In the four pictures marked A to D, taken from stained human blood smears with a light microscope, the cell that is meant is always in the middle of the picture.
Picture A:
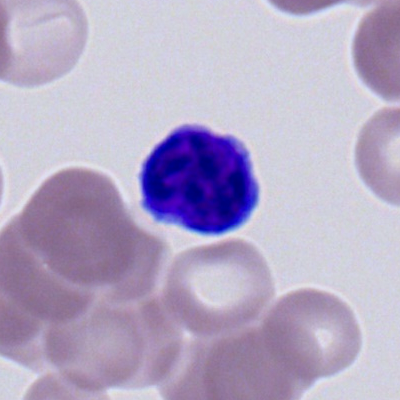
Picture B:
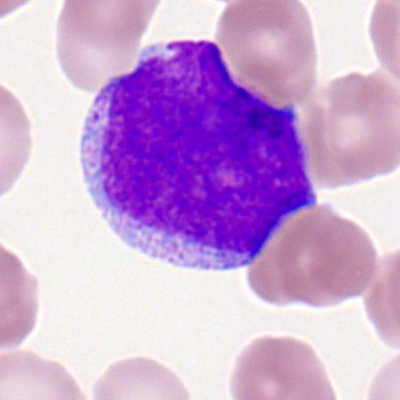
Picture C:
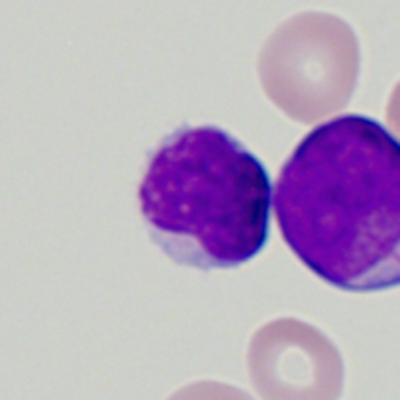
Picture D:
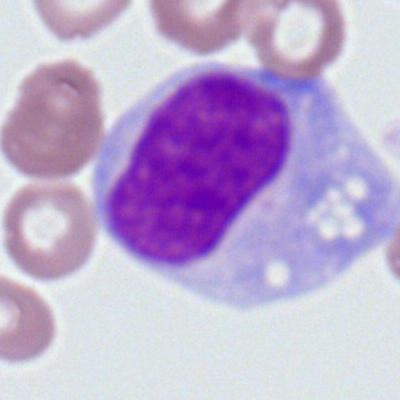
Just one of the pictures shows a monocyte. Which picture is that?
D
